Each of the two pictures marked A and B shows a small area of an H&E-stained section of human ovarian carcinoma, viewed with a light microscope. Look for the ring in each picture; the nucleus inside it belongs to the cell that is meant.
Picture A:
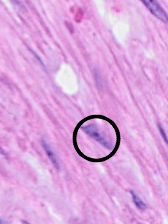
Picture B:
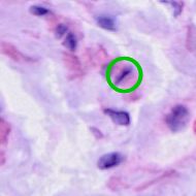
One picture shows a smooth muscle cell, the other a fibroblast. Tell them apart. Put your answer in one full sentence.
Picture A shows a fibroblast and picture B shows a smooth muscle cell.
